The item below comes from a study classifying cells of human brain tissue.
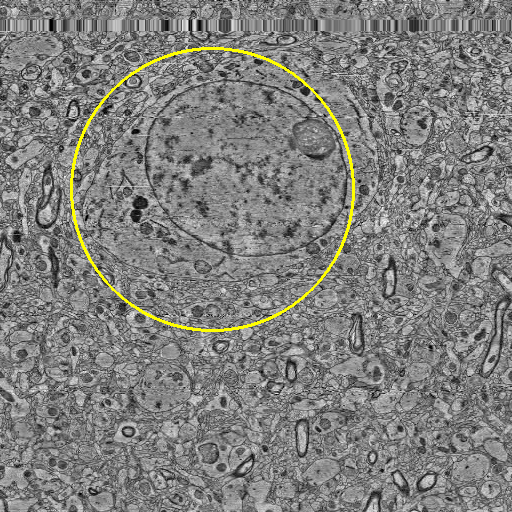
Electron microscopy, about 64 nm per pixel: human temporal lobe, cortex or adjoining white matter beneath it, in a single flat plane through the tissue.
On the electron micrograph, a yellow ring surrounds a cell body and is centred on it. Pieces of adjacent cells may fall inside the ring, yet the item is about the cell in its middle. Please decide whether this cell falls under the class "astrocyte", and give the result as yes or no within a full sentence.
No, the cell at the middle of the ring on the micrograph is of another kind.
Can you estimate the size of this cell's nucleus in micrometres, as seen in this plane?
About 13 by 11 micrometers, in this plane.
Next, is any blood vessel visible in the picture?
No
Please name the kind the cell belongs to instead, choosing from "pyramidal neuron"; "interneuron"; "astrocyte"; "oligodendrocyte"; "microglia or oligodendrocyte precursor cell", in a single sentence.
The cell at the ring centre is a pyramidal neuron.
